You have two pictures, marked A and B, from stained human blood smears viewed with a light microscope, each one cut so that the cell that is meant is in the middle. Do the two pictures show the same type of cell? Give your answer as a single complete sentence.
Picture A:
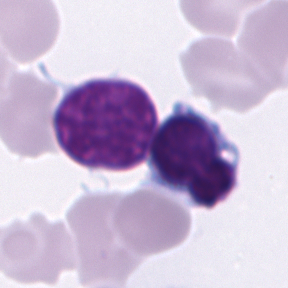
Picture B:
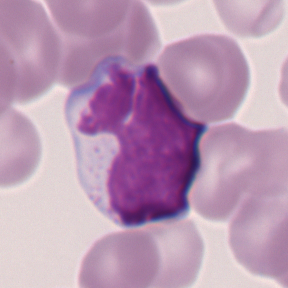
No; the cell in picture A is a myeloblast, while the one in picture B is a large granular lymphocyte.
